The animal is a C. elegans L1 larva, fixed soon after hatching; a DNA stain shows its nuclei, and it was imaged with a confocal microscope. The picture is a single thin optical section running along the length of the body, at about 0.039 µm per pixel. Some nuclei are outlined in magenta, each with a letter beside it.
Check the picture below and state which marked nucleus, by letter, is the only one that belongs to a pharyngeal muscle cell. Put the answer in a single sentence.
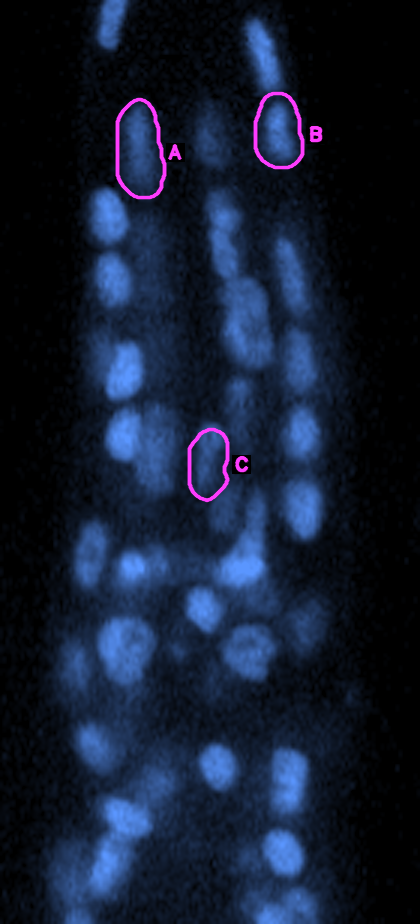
C is the nucleus of a pharyngeal muscle cell.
